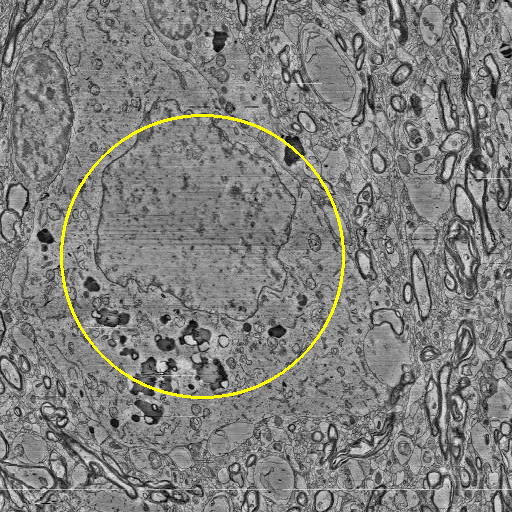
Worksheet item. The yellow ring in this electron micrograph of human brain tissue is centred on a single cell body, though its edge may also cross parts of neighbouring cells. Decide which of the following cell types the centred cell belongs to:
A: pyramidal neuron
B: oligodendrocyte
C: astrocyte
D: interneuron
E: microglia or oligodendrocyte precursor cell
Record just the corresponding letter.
A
